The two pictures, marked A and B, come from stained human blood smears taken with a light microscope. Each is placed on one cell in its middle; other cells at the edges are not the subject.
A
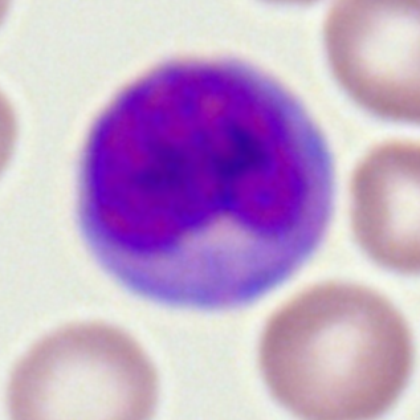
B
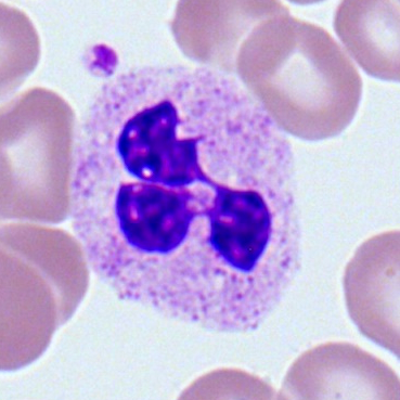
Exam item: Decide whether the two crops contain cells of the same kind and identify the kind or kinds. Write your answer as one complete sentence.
No, a monocyte lies at the centre of crop A, and a segmented neutrophil lies at the centre of crop B.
